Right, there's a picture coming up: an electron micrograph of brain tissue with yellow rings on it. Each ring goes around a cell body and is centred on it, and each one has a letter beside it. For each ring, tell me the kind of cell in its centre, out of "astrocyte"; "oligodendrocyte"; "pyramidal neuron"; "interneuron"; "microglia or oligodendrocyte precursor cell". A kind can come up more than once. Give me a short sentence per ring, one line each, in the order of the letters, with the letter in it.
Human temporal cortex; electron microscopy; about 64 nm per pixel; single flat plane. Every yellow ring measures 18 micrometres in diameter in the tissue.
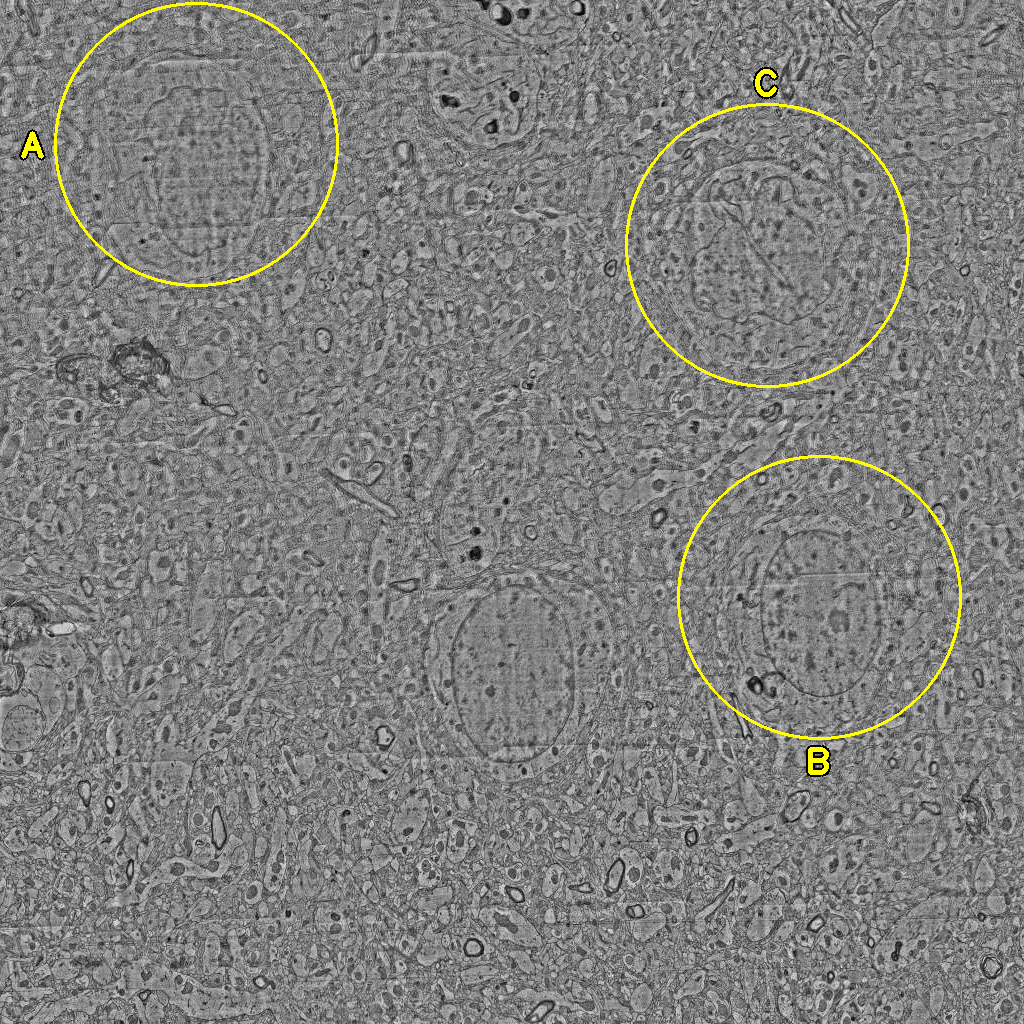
That's an interneuron in ring A.
That's a pyramidal neuron in ring B.
That's an interneuron in ring C.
